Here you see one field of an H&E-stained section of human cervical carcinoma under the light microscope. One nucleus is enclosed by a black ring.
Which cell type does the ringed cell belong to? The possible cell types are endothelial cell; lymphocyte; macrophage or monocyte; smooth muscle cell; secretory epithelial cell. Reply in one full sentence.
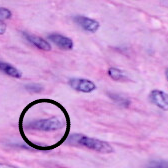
The cell type of the ringed cell is that of a smooth muscle cell.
